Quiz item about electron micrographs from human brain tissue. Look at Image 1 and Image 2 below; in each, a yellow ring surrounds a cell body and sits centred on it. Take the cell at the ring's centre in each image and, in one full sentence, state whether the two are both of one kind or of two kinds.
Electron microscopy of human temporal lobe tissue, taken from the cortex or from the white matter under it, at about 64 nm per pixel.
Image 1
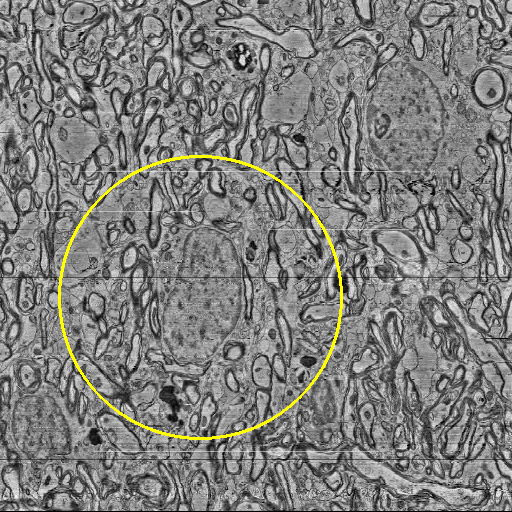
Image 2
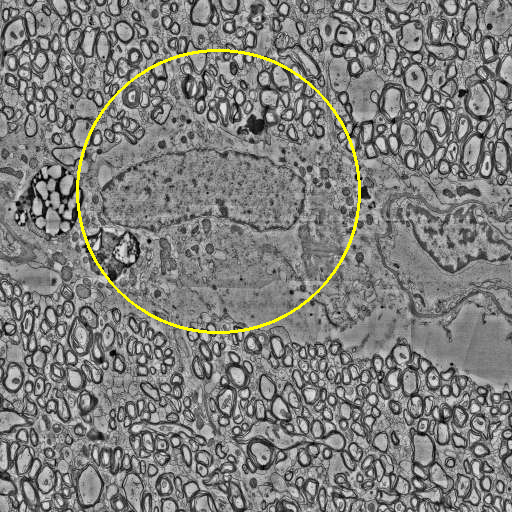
In Image 1 and Image 2, the cells at the ring centres are of two kinds.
